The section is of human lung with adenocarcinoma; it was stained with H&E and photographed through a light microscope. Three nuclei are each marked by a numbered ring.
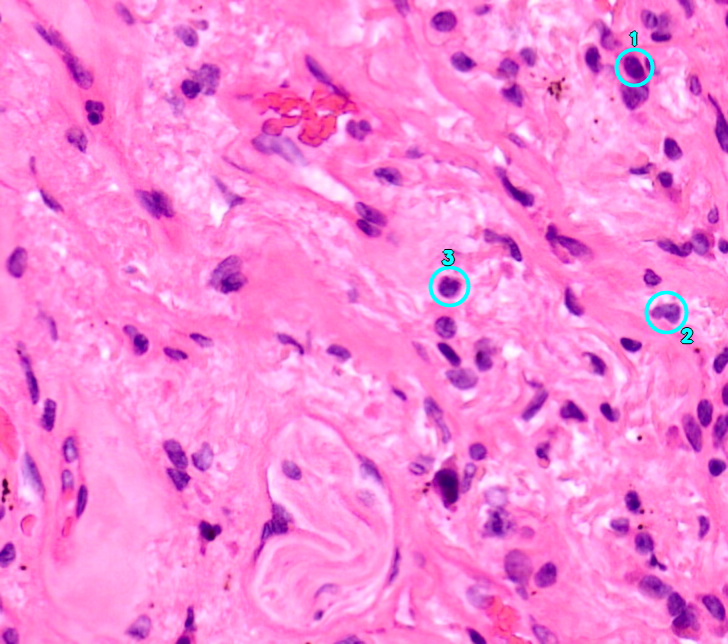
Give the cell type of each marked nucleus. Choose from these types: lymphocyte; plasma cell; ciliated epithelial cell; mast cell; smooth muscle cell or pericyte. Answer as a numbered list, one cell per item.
1. plasma cell
2. lymphocyte
3. lymphocyte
